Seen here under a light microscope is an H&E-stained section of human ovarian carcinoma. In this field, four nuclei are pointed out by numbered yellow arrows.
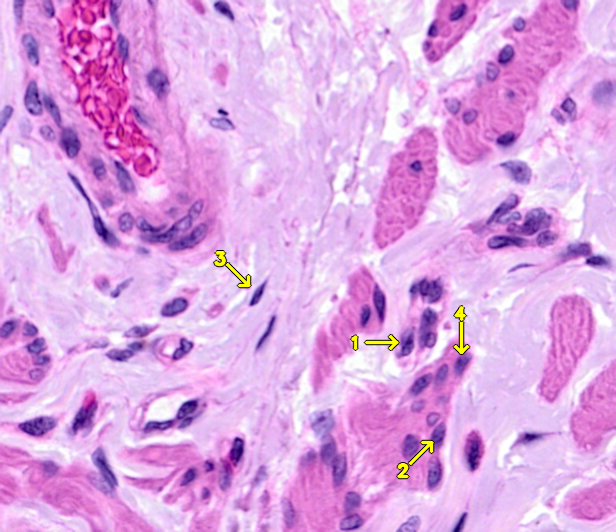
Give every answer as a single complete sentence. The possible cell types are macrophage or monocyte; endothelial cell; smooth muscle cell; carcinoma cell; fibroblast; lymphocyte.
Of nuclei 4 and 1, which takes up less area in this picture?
Nucleus 4 is the smaller one; nucleus 1 covers about 1.5 times its area.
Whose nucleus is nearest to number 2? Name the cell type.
It is a smooth muscle cell whose nucleus is nearest to number 2.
